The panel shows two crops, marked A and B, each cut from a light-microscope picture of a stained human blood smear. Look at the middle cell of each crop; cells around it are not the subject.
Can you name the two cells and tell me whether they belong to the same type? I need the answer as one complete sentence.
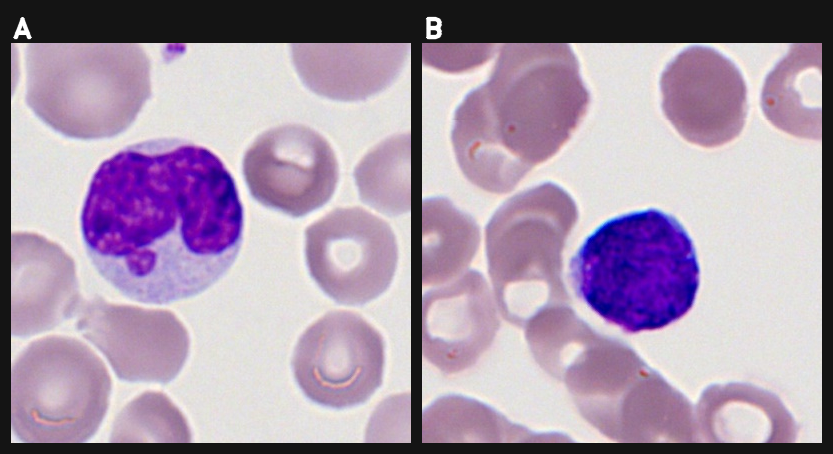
No, crop A contains a monocyte, whereas crop B contains a lymphocyte.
